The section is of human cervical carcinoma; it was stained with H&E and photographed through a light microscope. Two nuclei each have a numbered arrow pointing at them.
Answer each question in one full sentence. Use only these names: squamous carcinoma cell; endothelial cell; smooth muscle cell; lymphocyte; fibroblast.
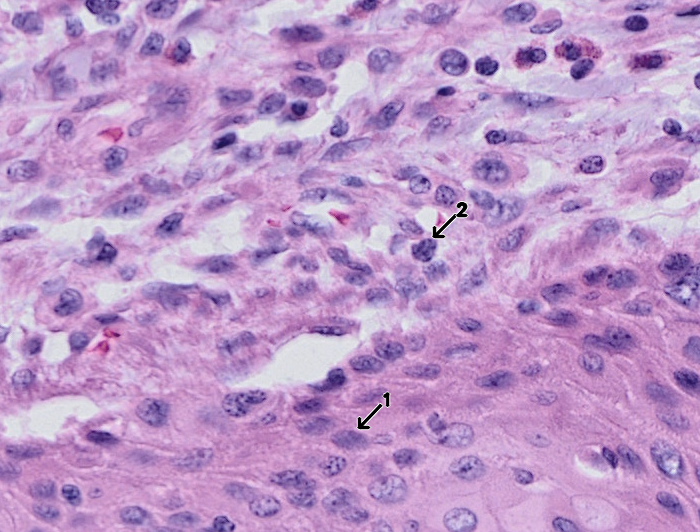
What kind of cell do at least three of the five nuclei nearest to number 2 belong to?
Fibroblasts account for more than half of the five nuclei nearest to number 2.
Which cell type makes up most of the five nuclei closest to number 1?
Squamous carcinoma cells make up most of the five nuclei closest to number 1.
